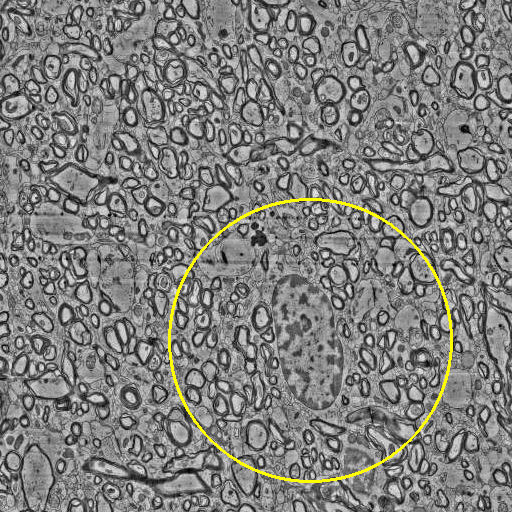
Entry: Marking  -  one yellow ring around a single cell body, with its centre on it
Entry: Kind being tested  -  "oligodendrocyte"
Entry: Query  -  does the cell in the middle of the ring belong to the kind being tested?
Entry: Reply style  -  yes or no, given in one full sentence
No, the centred cell within the ring in the picture belongs to a different kind.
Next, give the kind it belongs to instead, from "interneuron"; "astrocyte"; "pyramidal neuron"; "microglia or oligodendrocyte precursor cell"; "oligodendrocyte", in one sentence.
The cell ringed in the picture is a microglial cell or oligodendrocyte precursor cell.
